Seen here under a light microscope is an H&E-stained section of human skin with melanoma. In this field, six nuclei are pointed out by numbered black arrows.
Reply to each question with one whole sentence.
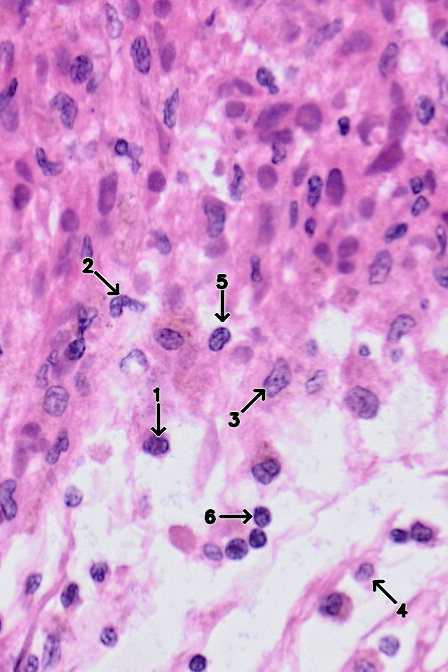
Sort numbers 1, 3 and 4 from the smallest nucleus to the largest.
The order from the smallest nucleus to the largest is 4, 1, 3.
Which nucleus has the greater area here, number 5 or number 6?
The larger nucleus is 5, at roughly 1.5 times the area of 6.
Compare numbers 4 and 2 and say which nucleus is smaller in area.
It is nucleus 4; nucleus 2 has about 1.5 times its area.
